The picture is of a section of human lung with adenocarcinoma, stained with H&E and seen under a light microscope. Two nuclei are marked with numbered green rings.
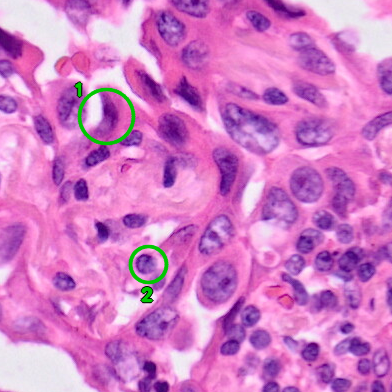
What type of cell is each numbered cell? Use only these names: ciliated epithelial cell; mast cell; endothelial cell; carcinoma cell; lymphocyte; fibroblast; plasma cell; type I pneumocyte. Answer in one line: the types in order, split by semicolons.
carcinoma cell; lymphocyte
